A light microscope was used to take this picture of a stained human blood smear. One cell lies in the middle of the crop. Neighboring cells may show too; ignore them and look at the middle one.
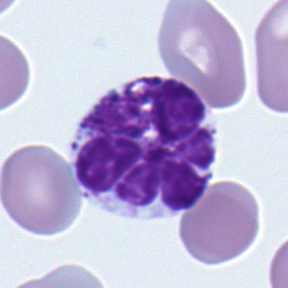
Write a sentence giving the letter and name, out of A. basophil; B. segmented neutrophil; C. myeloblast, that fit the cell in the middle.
The cell in the middle is correctly identified as a basophil in option A.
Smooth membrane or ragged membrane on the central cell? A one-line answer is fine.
If you check the edge, you will find it smooth without projections.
